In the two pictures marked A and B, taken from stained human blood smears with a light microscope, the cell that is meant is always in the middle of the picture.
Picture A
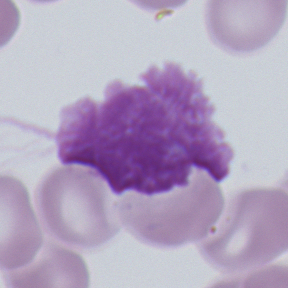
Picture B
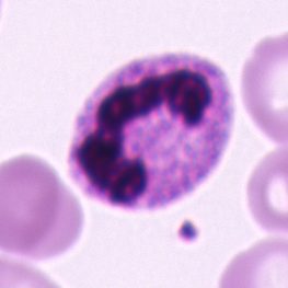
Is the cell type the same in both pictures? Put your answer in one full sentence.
No. Picture A shows a smudge cell, but picture B shows a segmented neutrophil.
